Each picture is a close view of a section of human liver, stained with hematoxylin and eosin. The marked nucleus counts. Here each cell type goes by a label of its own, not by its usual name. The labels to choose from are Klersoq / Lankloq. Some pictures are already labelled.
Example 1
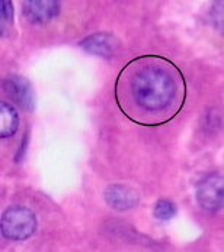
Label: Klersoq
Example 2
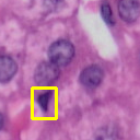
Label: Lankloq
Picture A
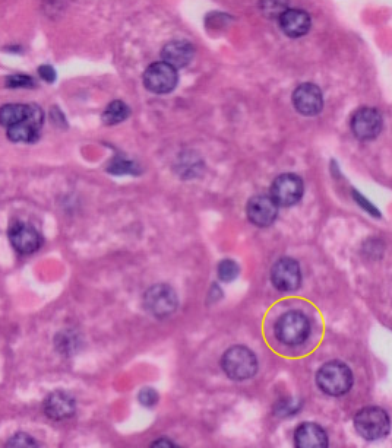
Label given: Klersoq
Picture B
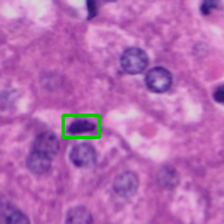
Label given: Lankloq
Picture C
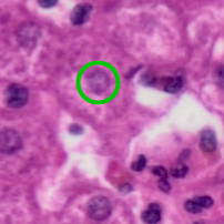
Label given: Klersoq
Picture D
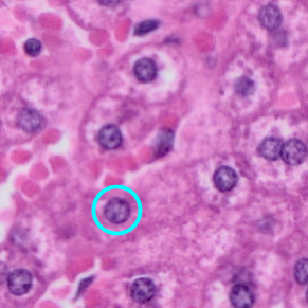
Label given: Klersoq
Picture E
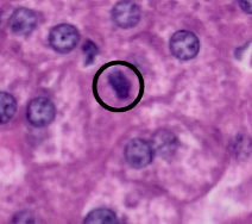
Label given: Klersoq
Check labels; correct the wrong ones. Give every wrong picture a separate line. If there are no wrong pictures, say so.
E: Lankloq, not Klersoq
